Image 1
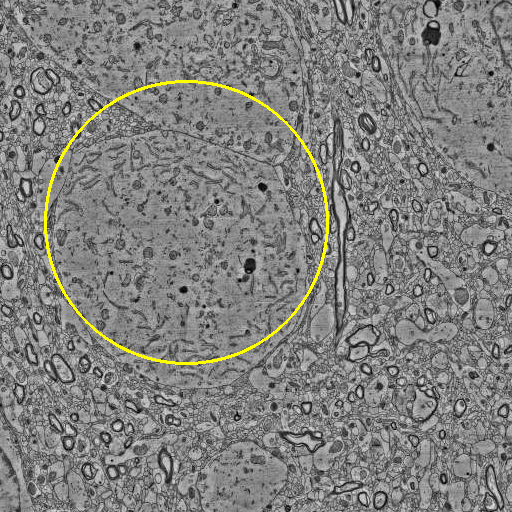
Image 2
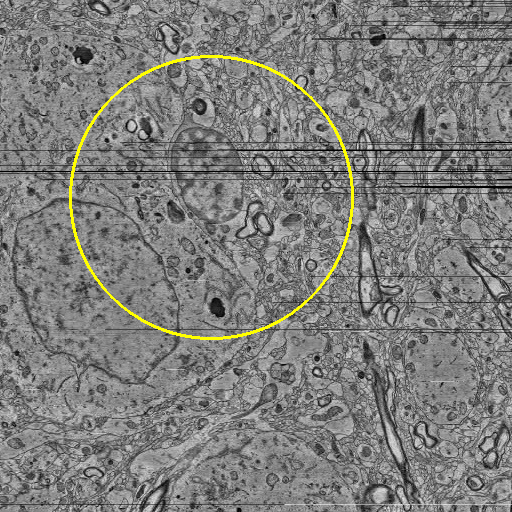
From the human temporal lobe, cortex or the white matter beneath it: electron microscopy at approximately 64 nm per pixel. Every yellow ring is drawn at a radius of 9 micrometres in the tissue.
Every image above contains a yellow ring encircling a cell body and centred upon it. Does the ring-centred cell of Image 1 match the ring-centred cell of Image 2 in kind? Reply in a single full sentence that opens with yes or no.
No, the cell at the ring's centre in Image 1 is a separate kind from that in Image 2.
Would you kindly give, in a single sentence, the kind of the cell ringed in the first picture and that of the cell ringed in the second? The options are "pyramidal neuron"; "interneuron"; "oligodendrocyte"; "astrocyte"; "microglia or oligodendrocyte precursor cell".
The second cell is an oligodendrocyte, and the first cell is a pyramidal neuron.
